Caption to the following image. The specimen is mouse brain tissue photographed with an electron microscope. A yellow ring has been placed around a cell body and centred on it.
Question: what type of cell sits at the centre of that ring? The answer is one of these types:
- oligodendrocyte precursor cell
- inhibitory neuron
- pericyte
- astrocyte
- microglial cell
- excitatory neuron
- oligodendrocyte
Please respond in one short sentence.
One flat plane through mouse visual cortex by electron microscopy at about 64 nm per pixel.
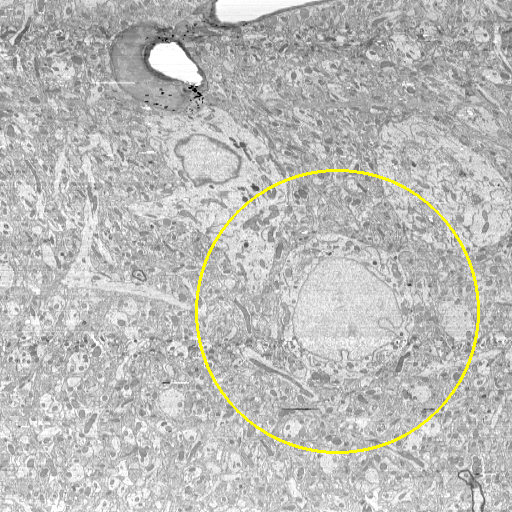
The ring surrounds the cell body of an inhibitory neuron.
